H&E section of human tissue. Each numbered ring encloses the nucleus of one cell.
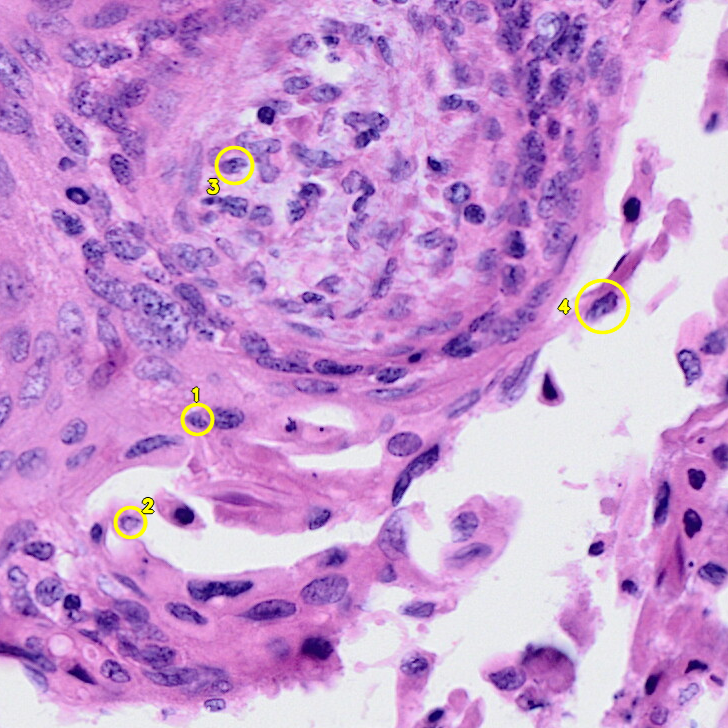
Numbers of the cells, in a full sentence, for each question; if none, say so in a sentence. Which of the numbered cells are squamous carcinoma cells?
In this section, the cells numbered 1, 2 and 4 are squamous carcinoma cells.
